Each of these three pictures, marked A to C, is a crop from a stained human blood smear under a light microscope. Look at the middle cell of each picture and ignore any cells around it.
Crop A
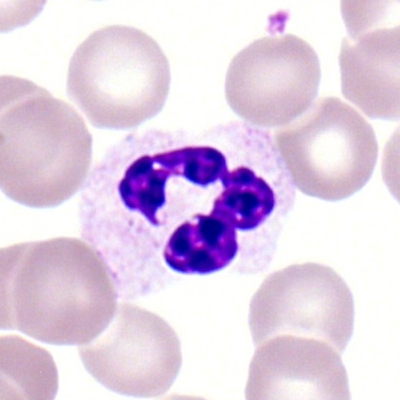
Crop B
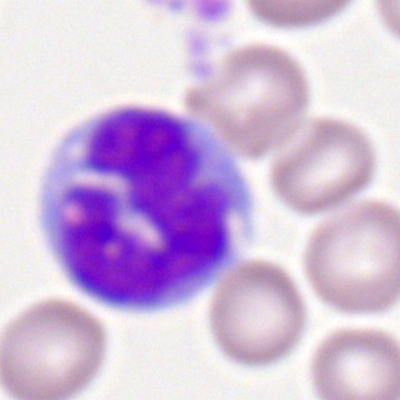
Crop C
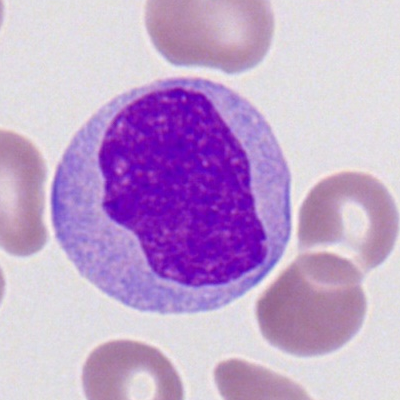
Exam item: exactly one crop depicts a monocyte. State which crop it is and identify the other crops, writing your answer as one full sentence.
Sorting them out, crop B is a monocyte, while crop A is a segmented neutrophil and crop C is a myeloblast.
